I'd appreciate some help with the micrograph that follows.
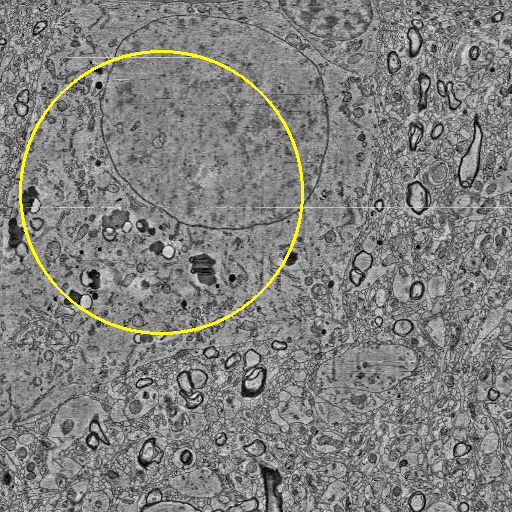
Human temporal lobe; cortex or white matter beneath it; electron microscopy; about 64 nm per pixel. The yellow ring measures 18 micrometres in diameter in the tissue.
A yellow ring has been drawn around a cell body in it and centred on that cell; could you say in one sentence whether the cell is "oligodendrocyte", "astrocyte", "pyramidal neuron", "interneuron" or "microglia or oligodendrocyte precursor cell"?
It is a pyramidal neuron at the centre of the ring.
